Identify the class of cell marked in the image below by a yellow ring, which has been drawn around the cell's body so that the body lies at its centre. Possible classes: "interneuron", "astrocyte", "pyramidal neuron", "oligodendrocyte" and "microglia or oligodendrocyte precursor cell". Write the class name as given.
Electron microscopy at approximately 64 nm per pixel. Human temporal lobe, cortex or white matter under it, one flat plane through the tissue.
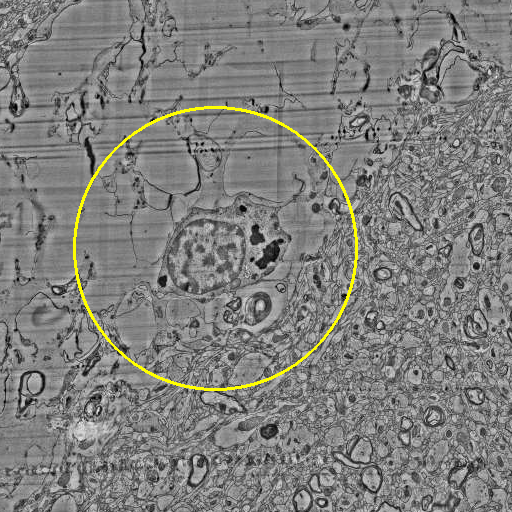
oligodendrocyte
